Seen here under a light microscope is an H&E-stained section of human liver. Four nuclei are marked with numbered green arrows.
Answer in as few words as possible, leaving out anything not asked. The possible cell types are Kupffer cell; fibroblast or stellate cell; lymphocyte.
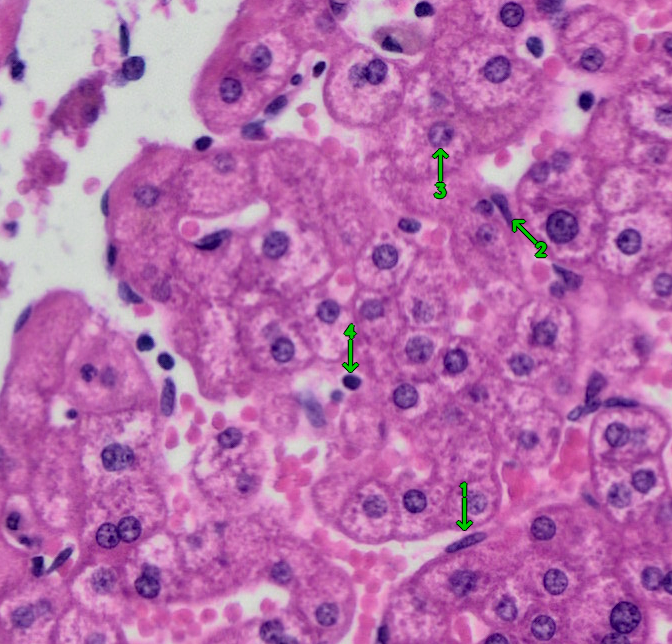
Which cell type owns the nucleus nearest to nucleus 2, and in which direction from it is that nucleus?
a fibroblast or stellate cell to the left of nucleus 2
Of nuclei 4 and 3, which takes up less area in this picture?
4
